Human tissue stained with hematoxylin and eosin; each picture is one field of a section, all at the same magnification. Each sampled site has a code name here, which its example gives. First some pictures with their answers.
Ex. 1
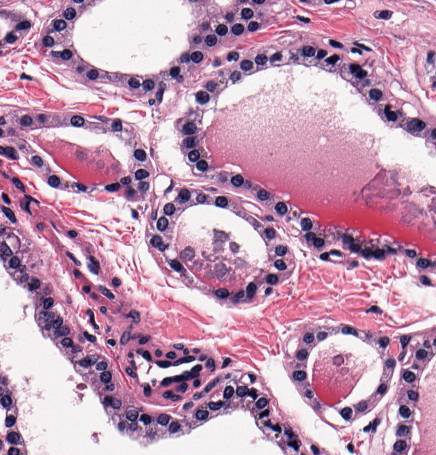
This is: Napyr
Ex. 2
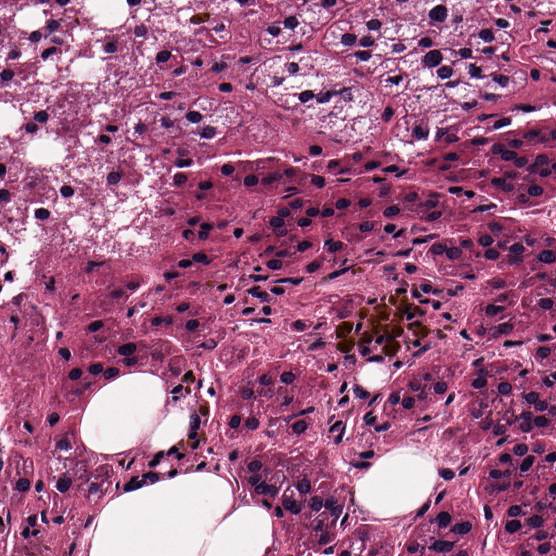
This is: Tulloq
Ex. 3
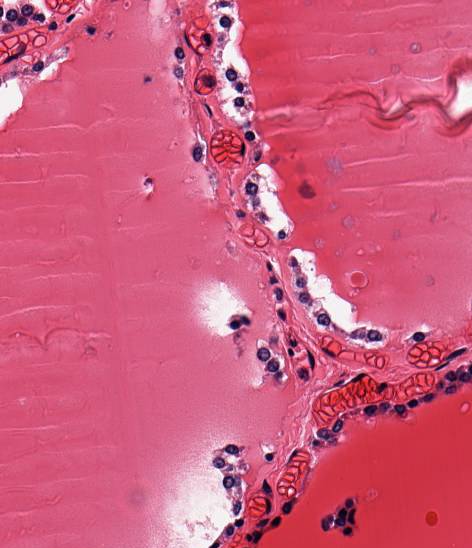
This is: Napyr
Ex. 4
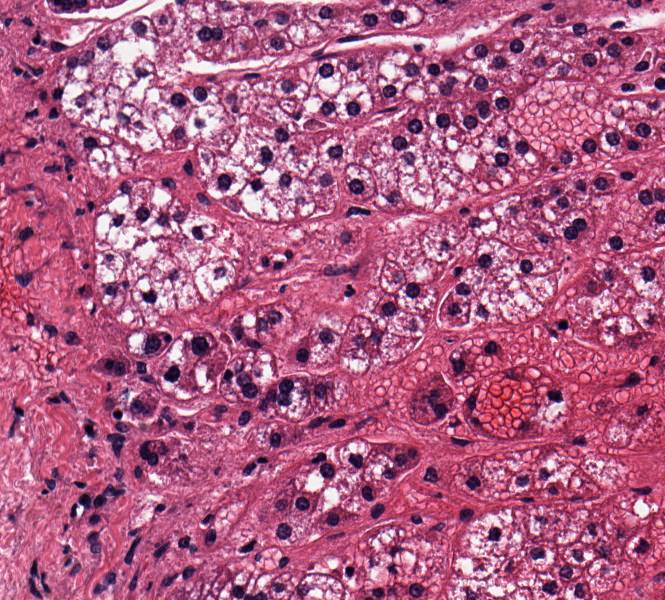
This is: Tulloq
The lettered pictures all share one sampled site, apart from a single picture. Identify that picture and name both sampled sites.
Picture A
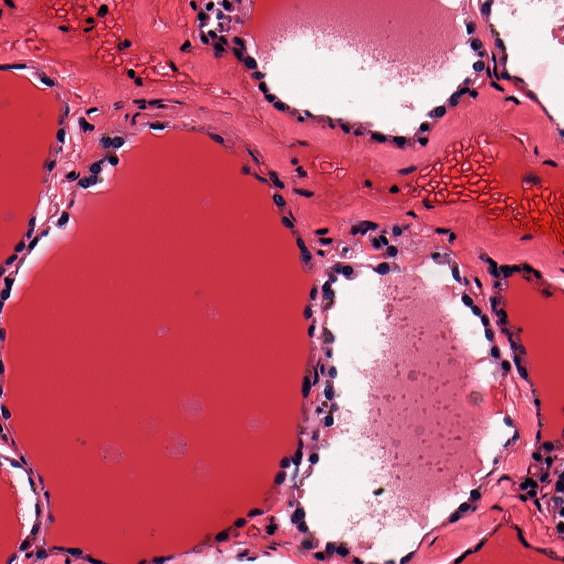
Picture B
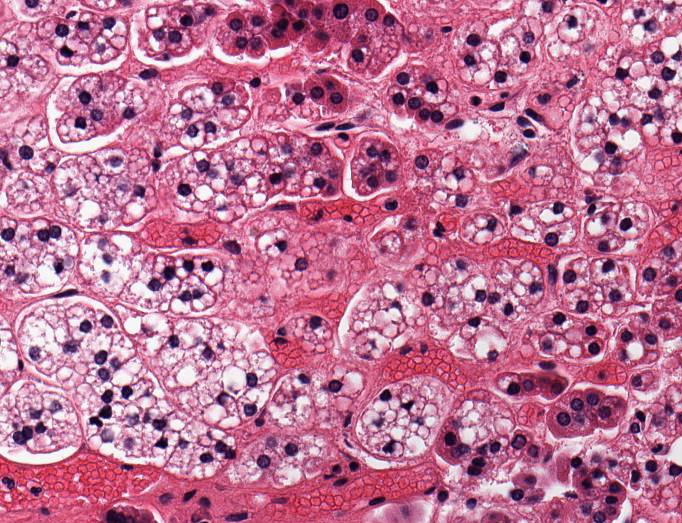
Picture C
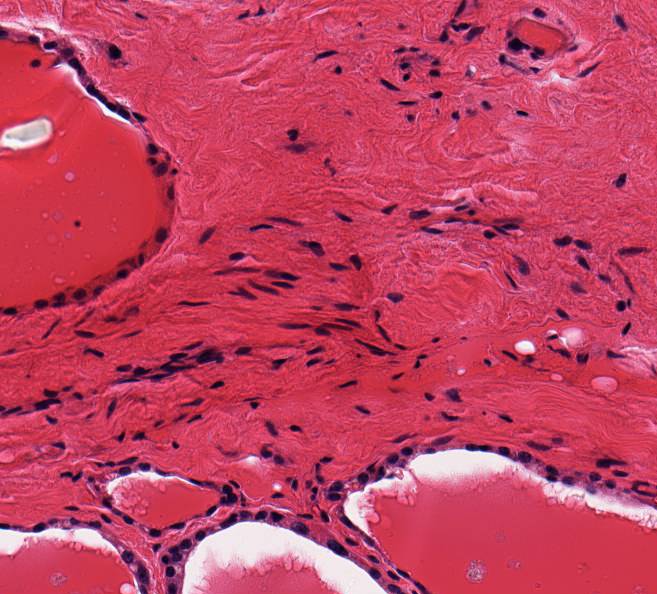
B: Tulloq; all the others: Napyr.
